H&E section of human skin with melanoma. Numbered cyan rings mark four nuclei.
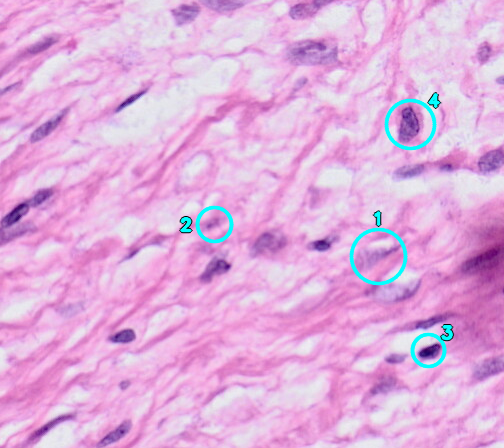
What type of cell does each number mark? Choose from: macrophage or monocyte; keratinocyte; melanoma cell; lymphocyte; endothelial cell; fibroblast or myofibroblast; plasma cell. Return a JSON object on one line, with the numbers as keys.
{"1": "fibroblast or myofibroblast", "2": "fibroblast or myofibroblast", "3": "lymphocyte", "4": "macrophage or monocyte"}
